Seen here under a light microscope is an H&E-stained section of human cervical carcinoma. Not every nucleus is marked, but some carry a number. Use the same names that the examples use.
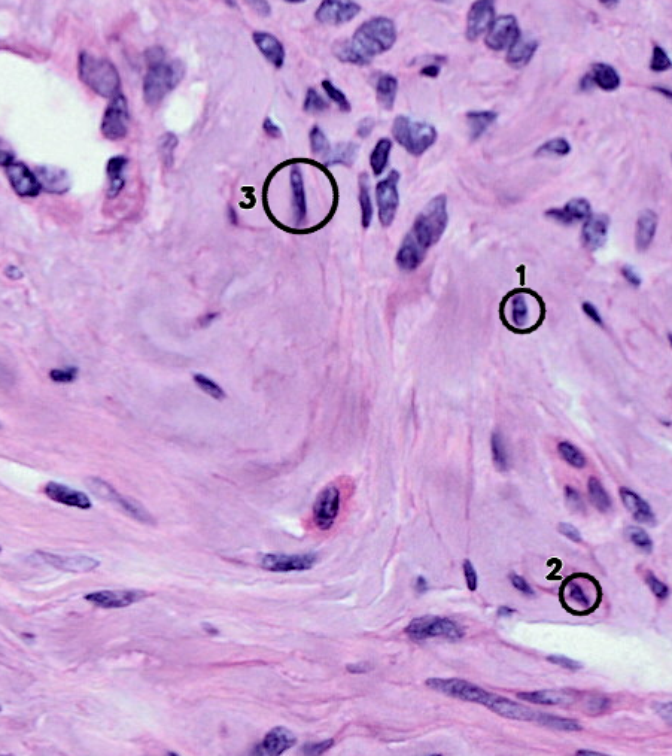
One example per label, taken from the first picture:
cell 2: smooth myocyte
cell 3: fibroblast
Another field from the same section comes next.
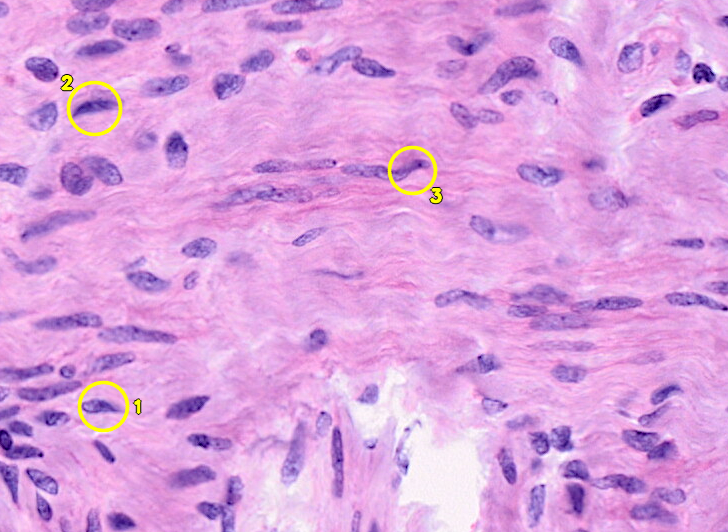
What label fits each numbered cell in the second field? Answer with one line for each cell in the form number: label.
1: fibroblast
2: fibroblast
3: smooth myocyte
